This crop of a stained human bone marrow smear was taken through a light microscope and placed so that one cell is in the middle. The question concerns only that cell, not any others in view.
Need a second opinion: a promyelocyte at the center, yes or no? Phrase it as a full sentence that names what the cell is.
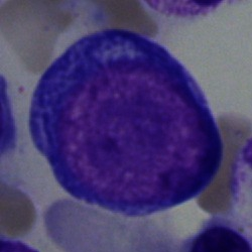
No, at the centre of this crop is found a proerythroblast instead of a promyelocyte.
